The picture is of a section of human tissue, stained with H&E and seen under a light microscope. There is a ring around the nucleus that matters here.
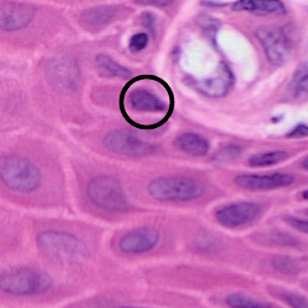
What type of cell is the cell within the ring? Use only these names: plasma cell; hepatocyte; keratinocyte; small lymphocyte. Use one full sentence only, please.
As for its identity, the cell within the ring is a keratinocyte.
